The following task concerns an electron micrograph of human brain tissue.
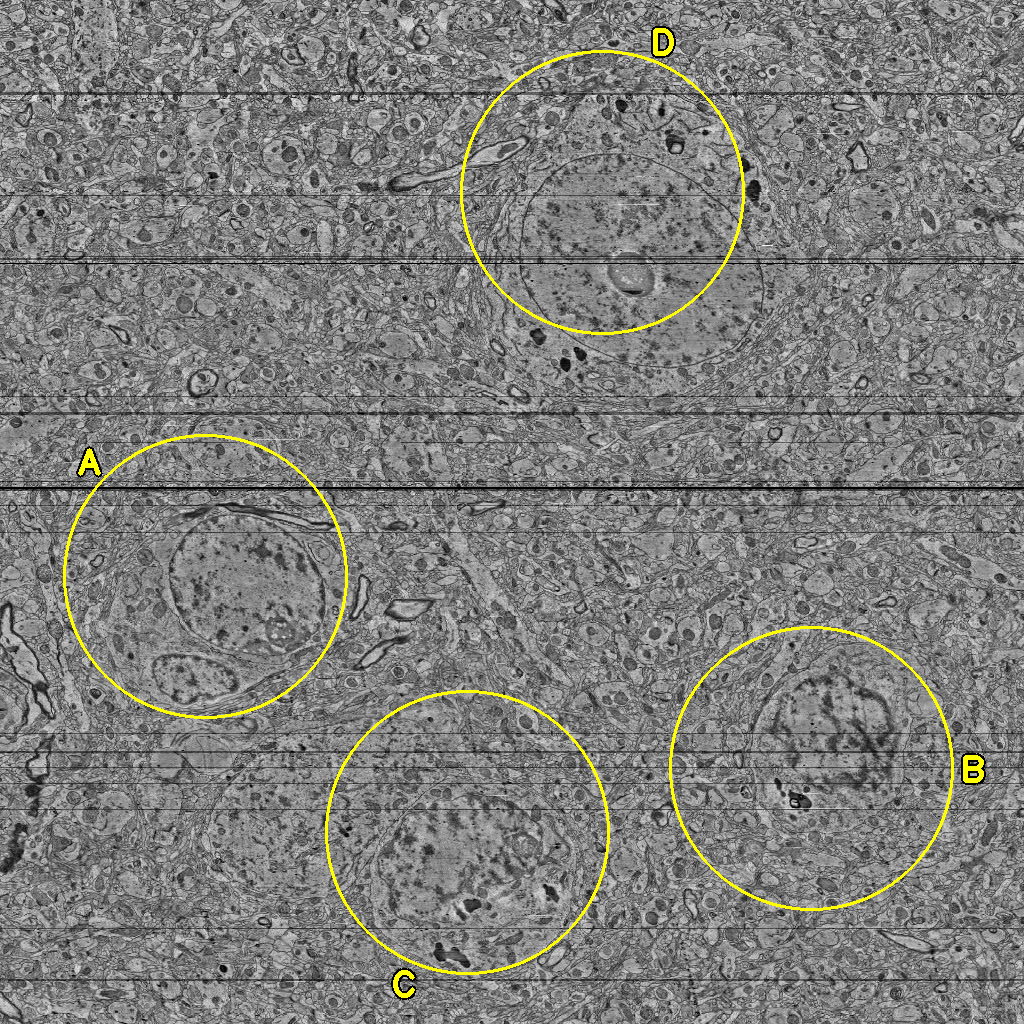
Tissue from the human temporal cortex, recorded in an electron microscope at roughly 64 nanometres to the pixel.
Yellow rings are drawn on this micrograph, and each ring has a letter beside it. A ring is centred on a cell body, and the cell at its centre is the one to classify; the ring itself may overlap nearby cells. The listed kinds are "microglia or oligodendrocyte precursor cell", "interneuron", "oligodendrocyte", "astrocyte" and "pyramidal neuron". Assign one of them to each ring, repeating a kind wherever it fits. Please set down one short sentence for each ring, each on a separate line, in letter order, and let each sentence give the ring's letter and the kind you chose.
The cell ringed as A is an astrocyte.
The cell ringed as B is an interneuron.
The cell ringed as C is an interneuron.
The cell ringed as D is a pyramidal neuron.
